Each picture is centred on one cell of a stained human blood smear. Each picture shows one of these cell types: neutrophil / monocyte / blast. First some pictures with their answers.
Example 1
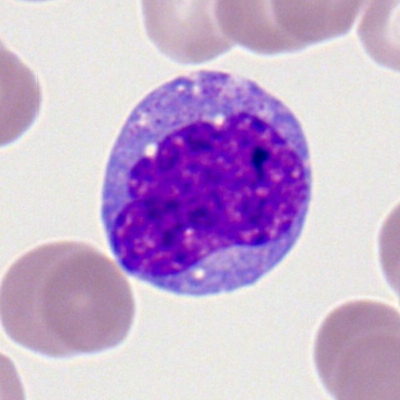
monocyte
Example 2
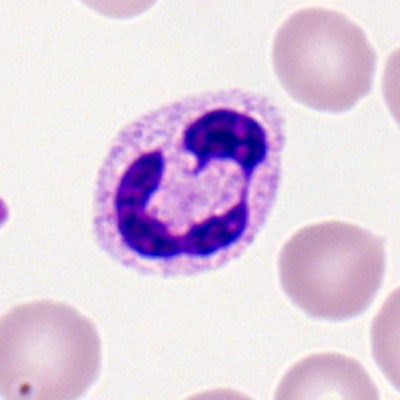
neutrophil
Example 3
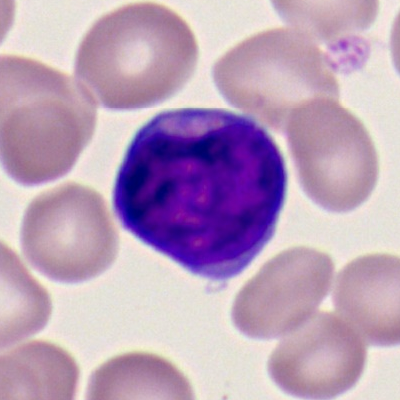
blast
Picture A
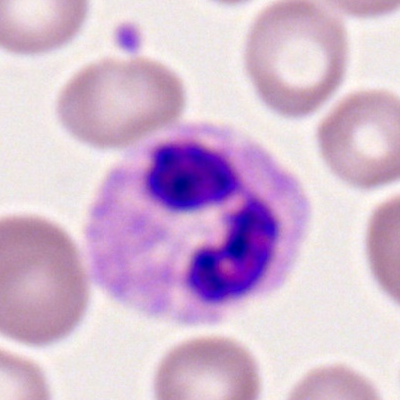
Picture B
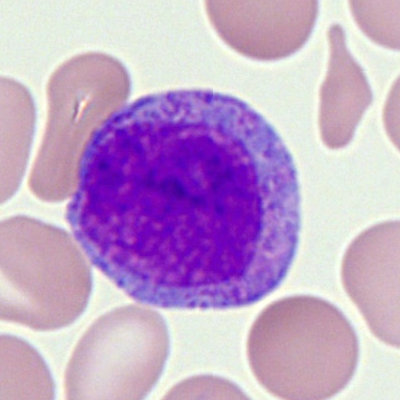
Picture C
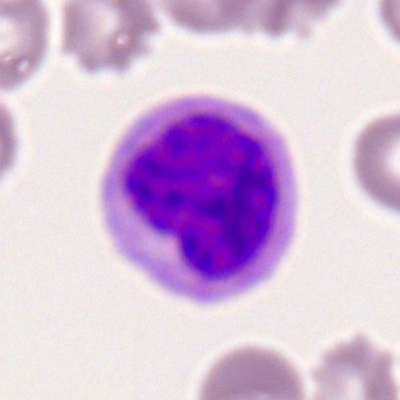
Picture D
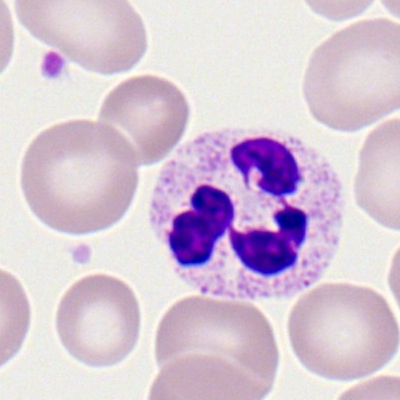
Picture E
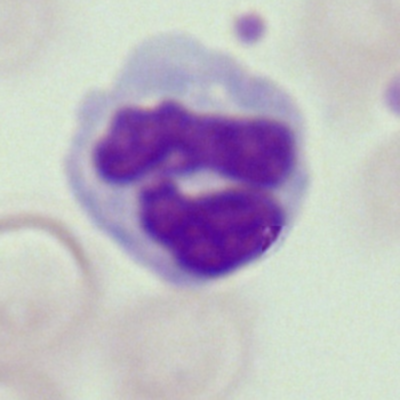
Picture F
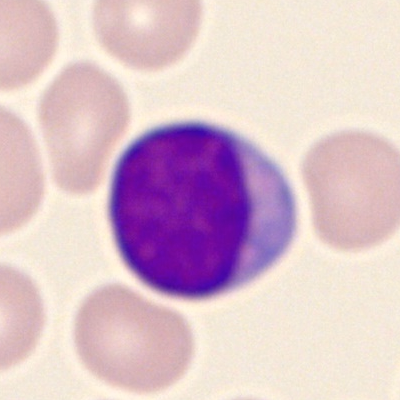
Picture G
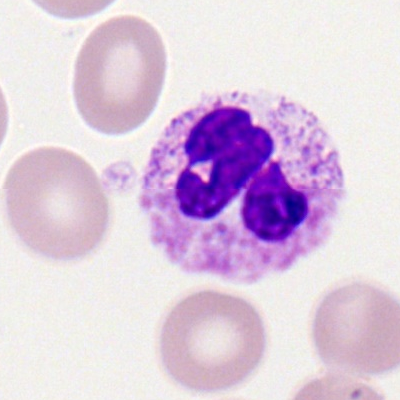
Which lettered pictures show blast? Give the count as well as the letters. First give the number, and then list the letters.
2, namely B, F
